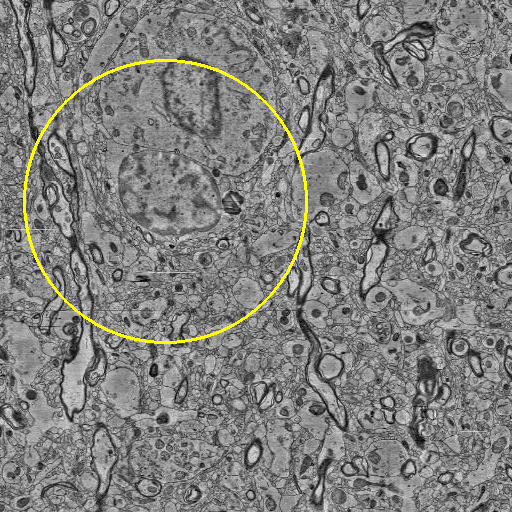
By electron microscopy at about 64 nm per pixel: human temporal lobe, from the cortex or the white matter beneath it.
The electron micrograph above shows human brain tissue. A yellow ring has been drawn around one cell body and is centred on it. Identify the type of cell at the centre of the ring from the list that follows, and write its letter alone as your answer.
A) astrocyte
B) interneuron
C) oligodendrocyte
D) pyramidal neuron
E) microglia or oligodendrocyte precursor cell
C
